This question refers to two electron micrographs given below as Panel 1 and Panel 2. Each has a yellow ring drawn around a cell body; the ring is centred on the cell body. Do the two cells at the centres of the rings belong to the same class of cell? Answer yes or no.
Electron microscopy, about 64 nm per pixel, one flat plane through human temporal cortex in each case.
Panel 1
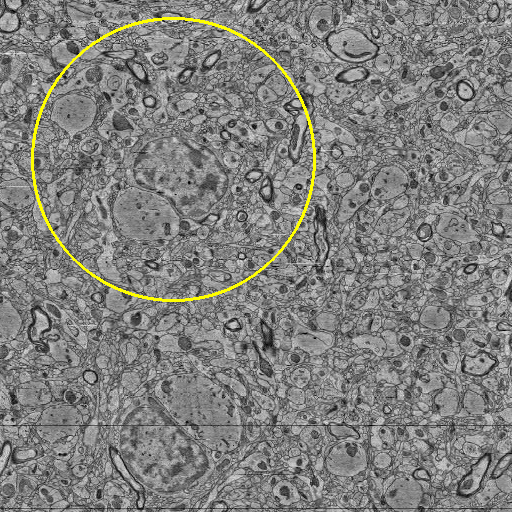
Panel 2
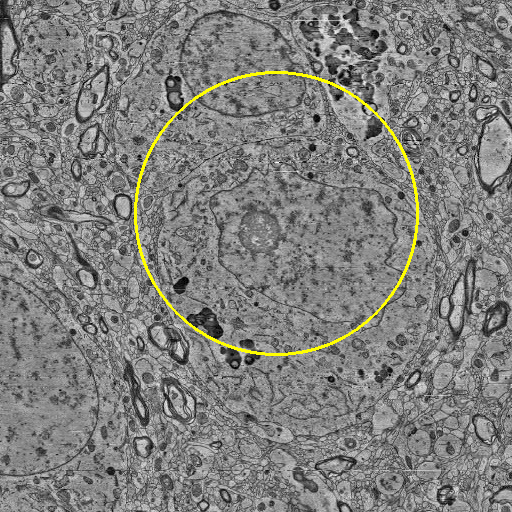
no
